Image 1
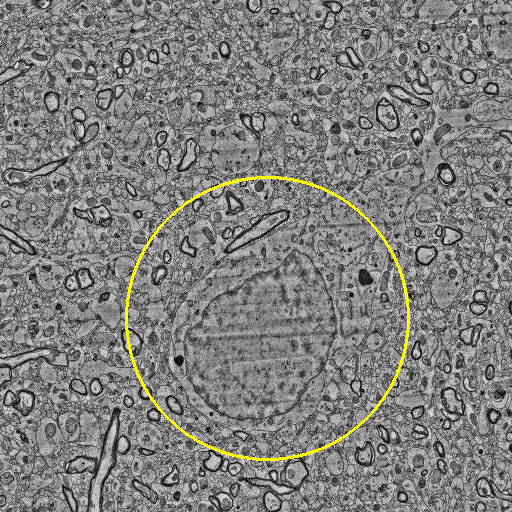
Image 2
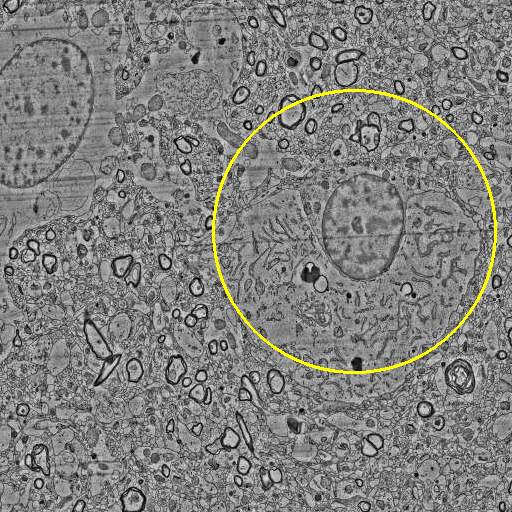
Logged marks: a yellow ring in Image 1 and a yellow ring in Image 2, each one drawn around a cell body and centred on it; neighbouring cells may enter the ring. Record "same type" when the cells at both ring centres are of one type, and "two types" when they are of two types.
two types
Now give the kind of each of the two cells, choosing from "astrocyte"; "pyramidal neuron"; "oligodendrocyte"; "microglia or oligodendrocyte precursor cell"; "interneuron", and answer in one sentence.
The cell in the first picture is an interneuron, and the cell in the second is an oligodendrocyte.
